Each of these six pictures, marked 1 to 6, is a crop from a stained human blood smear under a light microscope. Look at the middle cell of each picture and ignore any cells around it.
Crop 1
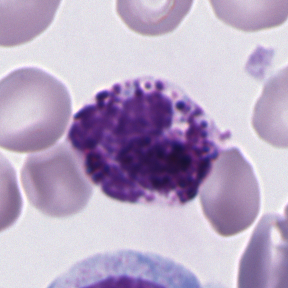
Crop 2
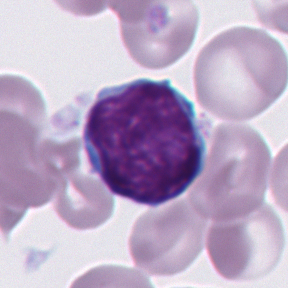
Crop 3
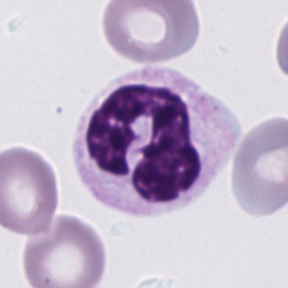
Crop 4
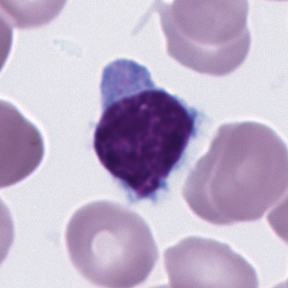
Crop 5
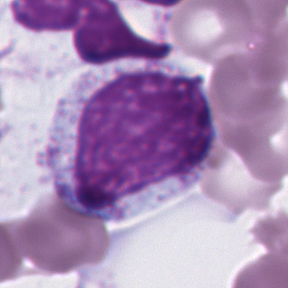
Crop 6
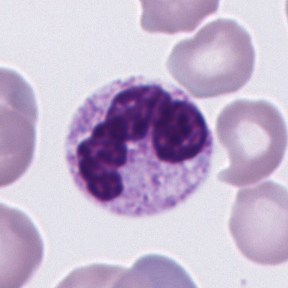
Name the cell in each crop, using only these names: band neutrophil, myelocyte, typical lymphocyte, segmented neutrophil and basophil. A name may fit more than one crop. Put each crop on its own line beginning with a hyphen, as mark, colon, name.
- 1: basophil
- 2: typical lymphocyte
- 3: band neutrophil
- 4: typical lymphocyte
- 5: myelocyte
- 6: segmented neutrophil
